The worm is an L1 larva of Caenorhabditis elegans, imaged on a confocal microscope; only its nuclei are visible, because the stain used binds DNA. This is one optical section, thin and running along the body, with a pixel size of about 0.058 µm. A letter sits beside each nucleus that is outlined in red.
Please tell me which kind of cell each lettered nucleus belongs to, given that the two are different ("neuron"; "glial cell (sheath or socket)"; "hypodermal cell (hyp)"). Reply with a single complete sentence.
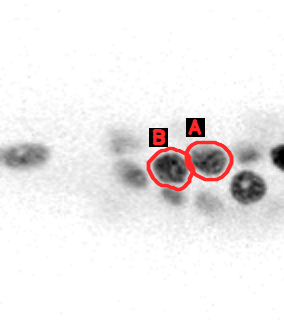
Nucleus A comes from a glial cell (sheath or socket) and nucleus B from a hypodermal cell (hyp).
